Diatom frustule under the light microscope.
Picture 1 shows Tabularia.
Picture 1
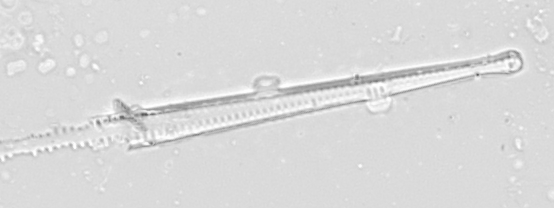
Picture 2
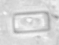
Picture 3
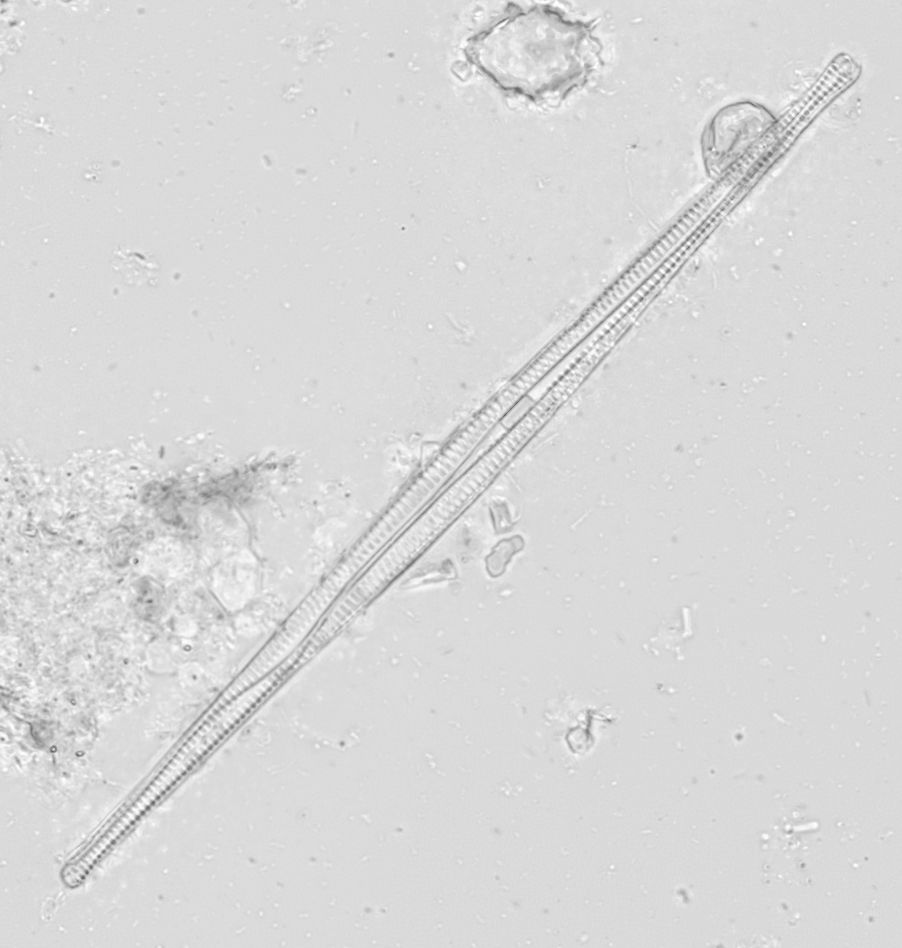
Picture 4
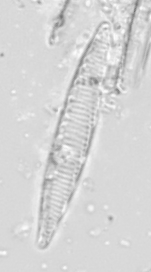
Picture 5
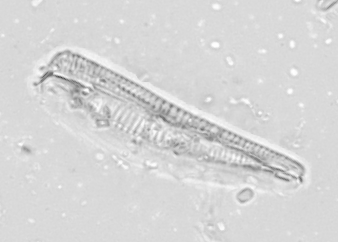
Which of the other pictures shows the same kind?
Picture 3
